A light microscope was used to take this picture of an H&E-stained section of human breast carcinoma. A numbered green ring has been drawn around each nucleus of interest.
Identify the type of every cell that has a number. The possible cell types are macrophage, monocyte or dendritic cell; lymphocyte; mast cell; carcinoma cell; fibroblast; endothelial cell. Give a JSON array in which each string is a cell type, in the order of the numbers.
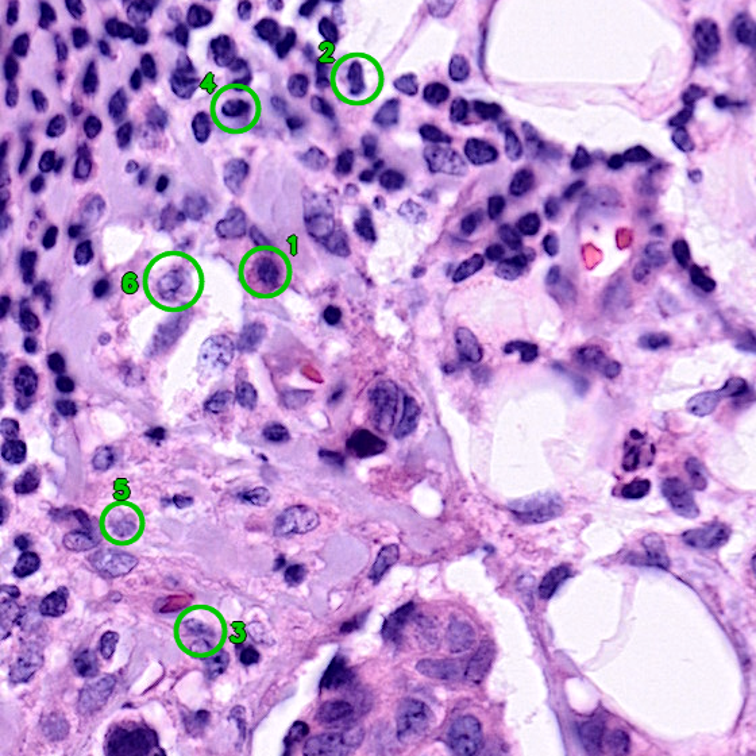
["mast cell", "lymphocyte", "endothelial cell", "lymphocyte", "macrophage, monocyte or dendritic cell", "macrophage, monocyte or dendritic cell"]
